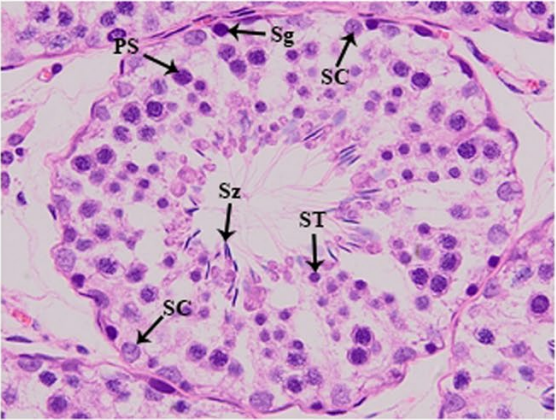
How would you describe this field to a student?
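A round seminiferous tubule is shown, its wall a thin pink band with flattened nuclei, and its epithelium a thick, densely packed layer of germ cells around a narrow, star-shaped lumen. Small dark nuclei at the base belong to spermatogonia, and paler nuclei resting on the wall to Sertoli cells. Above them lie many large round cells with granular purple nuclei, the primary spermatocytes, and nearer the lumen smaller round spermatids. At the lumen, slender, dark, elongated heads point inward in clusters with fine pale tails streaming into the center, which are sperm.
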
